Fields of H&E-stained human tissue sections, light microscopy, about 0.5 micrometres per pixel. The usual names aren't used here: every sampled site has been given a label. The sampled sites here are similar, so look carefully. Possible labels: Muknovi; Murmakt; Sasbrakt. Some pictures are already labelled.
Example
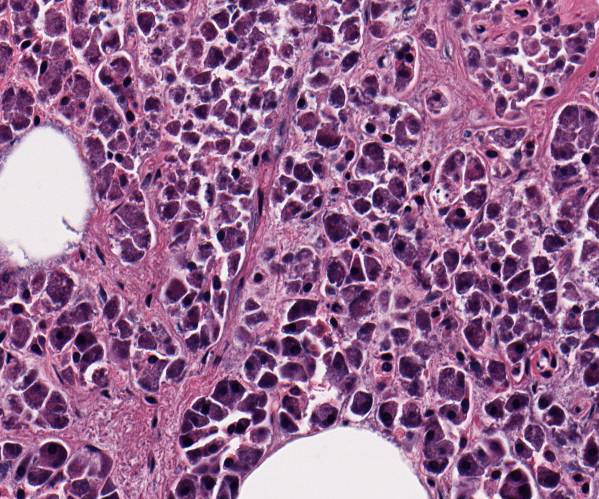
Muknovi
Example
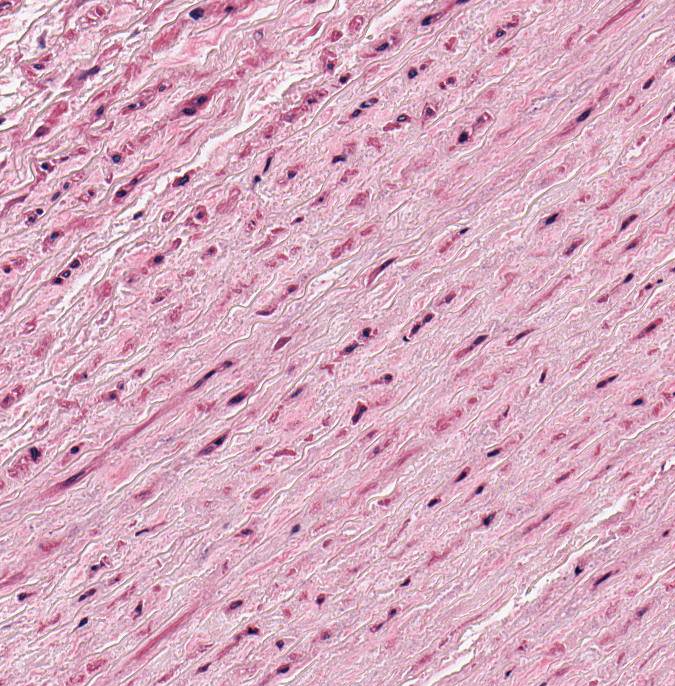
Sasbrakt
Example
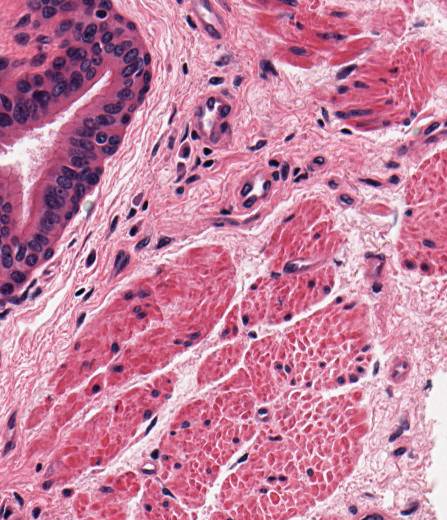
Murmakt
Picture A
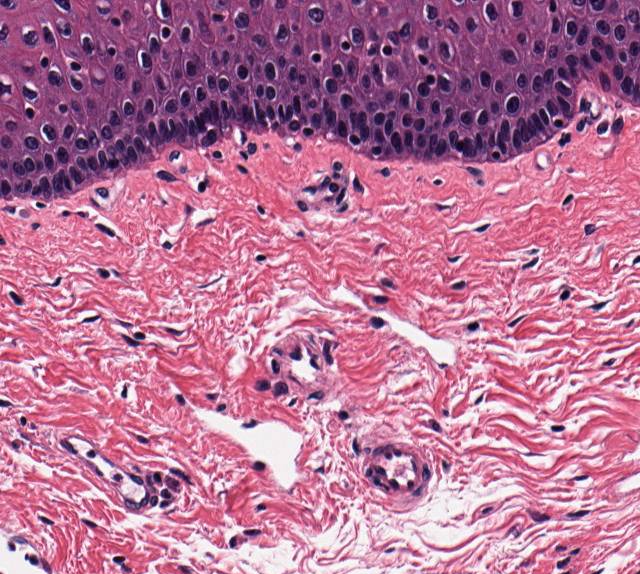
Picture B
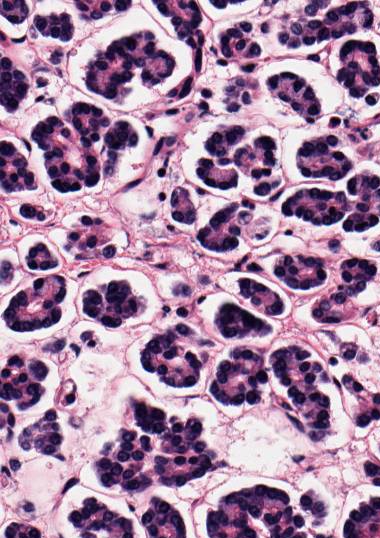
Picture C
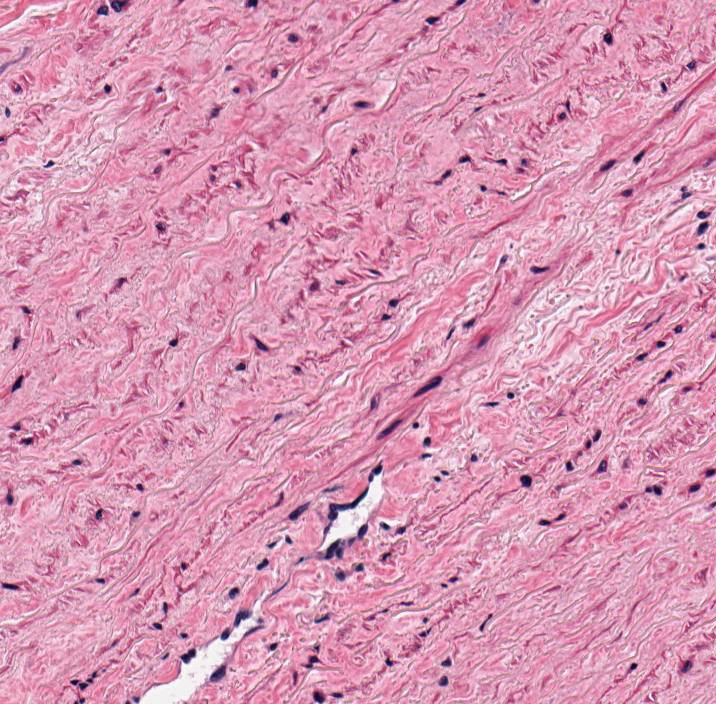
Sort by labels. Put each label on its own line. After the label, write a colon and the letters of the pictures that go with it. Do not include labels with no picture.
Muknovi: B
Murmakt: A
Sasbrakt: C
